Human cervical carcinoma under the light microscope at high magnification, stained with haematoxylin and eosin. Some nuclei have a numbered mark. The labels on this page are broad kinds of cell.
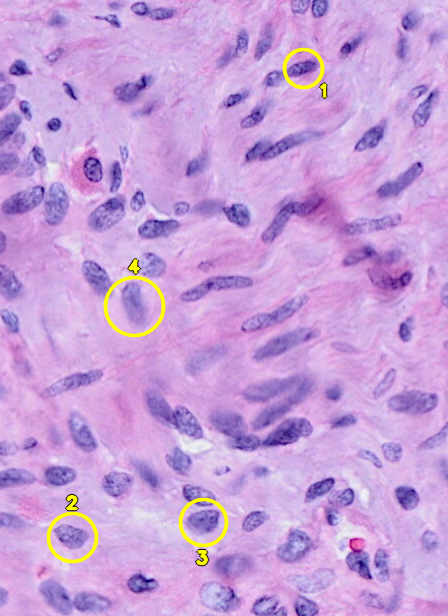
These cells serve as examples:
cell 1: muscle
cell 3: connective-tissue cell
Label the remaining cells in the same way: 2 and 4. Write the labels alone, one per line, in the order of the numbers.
connective-tissue cell
connective-tissue cell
